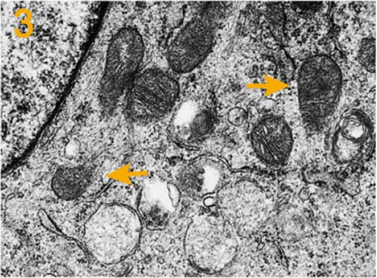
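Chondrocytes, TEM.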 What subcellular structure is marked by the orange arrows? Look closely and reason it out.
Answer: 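Several similar organelles cluster near the nucleus. So: mitochondrion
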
